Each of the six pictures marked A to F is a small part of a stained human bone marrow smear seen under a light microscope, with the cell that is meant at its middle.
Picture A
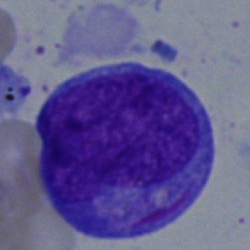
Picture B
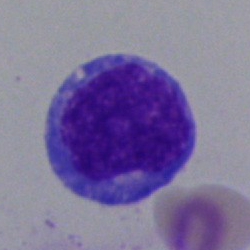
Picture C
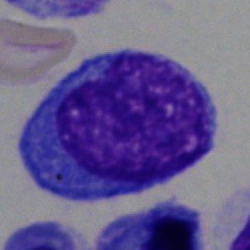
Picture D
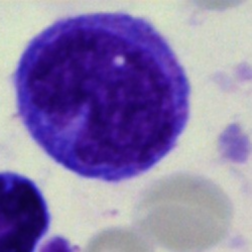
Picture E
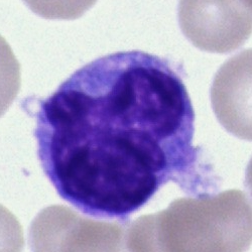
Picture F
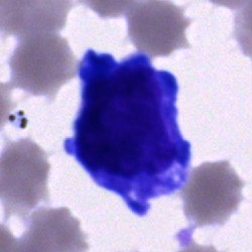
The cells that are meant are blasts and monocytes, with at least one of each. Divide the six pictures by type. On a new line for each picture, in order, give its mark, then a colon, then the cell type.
A: blast
B: blast
C: blast
D: monocyte
E: monocyte
F: blast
